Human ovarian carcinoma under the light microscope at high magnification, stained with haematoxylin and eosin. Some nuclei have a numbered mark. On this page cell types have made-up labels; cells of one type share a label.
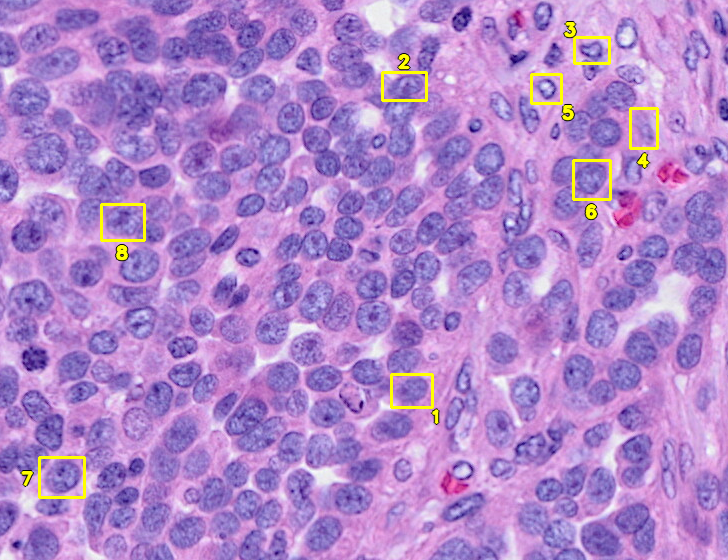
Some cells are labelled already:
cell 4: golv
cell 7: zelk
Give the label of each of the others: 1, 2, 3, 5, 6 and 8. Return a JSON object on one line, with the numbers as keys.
{"1": "zelk", "2": "zelk", "3": "golv", "5": "golv", "6": "zelk", "8": "zelk"}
